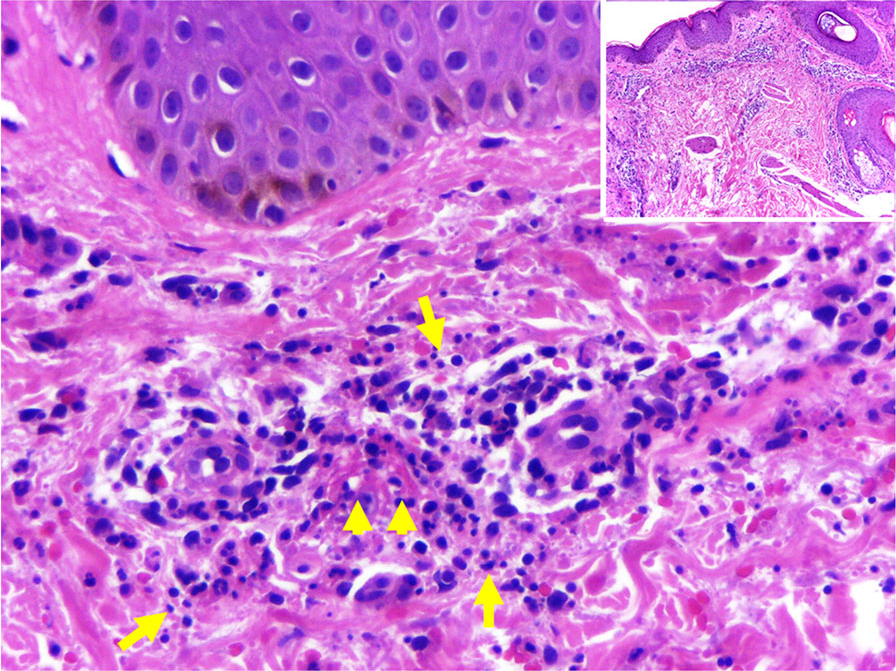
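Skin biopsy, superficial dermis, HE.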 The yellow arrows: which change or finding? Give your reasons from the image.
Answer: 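Small, dense, dark round nuclear fragments lie scattered around the vessels where the arrows point. These fragments are smaller than the intact nuclei nearby.
Leukocytoclasia.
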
